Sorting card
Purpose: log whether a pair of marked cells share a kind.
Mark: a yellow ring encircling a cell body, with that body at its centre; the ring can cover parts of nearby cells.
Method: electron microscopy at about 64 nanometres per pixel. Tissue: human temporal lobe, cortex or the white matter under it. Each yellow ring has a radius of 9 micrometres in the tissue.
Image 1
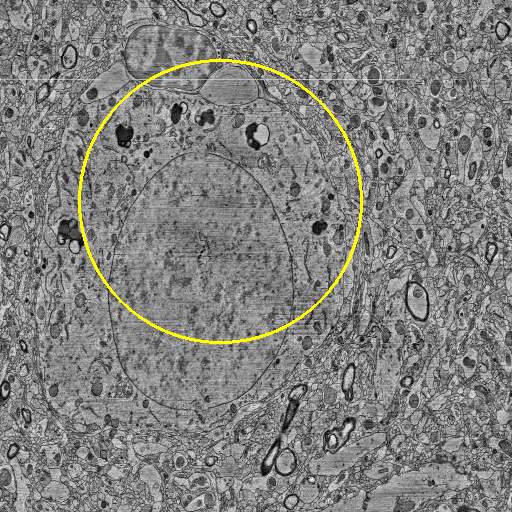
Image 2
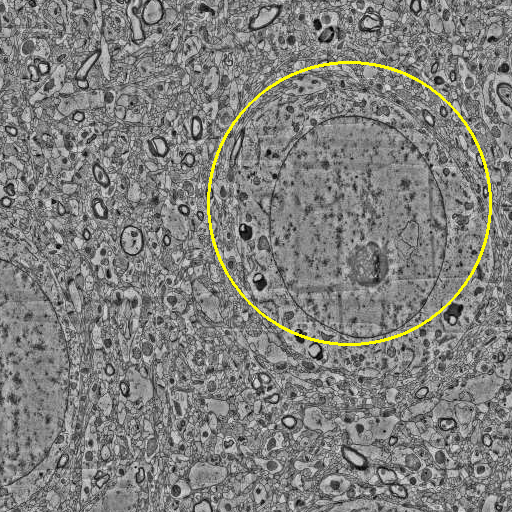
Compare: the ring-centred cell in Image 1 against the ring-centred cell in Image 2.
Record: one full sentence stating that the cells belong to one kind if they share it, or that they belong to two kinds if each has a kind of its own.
Across Images 1 and 2, the two ring-centred cells belong to one kind.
